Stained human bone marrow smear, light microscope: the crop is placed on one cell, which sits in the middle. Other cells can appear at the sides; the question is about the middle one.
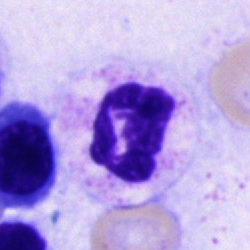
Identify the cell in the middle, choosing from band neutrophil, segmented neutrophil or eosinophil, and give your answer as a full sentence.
The centrally placed cell is classified as a segmented neutrophil.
